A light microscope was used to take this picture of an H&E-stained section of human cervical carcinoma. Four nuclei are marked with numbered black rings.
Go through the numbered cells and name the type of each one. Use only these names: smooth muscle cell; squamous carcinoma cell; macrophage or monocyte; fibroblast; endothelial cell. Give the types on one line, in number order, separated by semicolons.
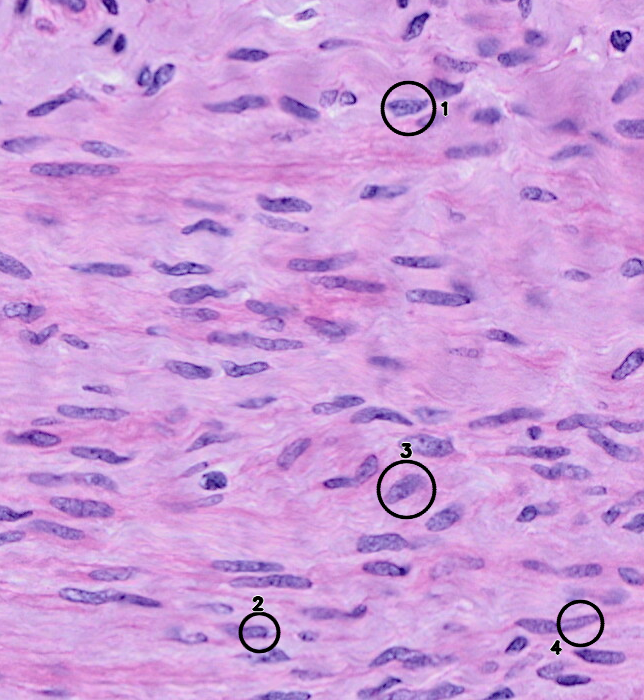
fibroblast; smooth muscle cell; smooth muscle cell; smooth muscle cell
